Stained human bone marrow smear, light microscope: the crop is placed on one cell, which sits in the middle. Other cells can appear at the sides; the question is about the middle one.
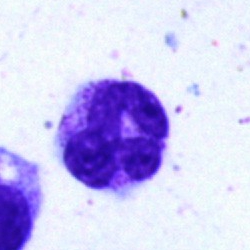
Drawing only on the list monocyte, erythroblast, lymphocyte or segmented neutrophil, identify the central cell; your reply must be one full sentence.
The middle of this crop is occupied by a segmented neutrophil.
